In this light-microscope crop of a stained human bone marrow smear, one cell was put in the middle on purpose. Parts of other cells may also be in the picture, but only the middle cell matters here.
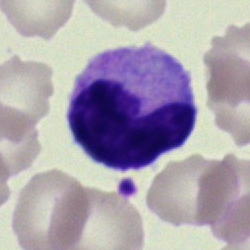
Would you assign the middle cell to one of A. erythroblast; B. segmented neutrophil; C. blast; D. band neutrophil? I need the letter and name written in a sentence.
Since the cell in the middle is a band neutrophil, option D is correct.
